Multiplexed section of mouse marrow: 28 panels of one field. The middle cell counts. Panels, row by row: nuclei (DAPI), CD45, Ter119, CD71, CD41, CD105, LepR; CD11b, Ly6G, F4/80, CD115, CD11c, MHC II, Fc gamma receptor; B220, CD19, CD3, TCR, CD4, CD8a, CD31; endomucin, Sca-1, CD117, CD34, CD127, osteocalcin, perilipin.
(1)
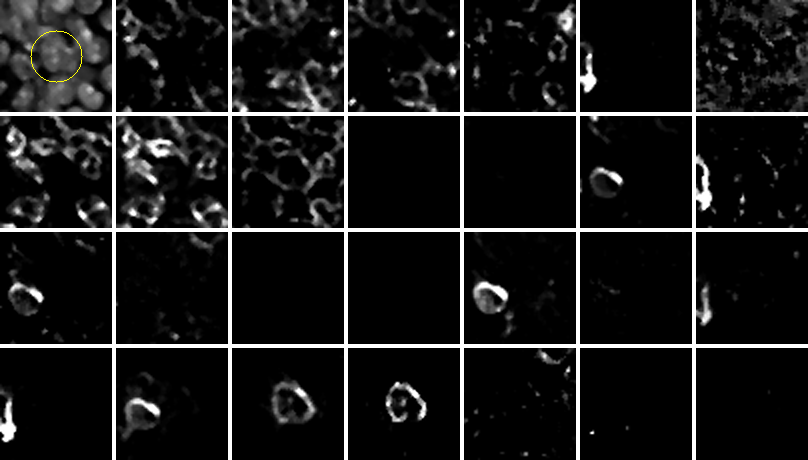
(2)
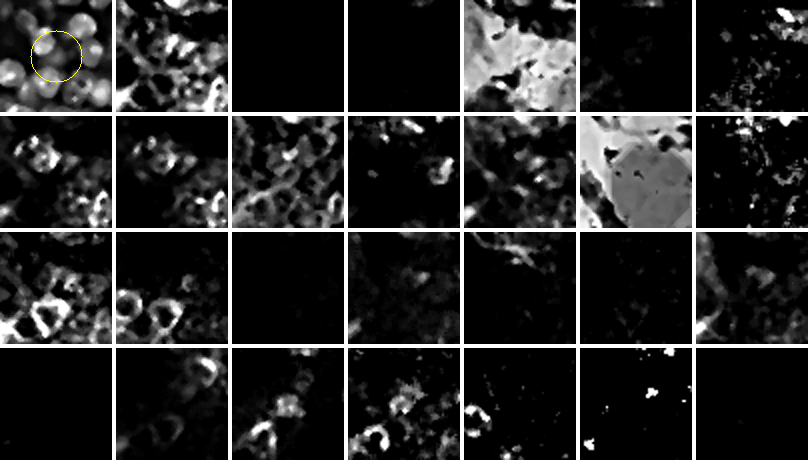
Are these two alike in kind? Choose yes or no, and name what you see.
No. First a KLS stem or progenitor cell, second a megakaryocyte progenitor.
